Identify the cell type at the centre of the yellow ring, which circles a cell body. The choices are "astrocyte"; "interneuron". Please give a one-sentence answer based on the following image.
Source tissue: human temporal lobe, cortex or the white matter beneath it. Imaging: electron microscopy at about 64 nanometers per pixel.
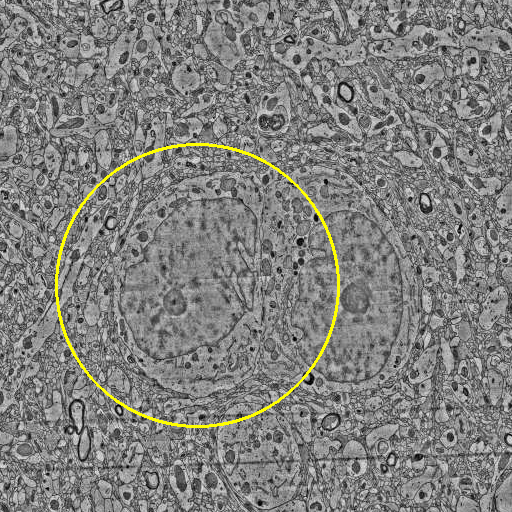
The cell marked by the ring is an interneuron.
